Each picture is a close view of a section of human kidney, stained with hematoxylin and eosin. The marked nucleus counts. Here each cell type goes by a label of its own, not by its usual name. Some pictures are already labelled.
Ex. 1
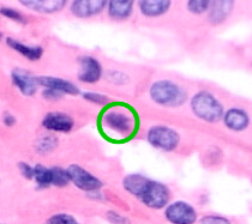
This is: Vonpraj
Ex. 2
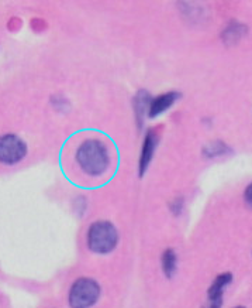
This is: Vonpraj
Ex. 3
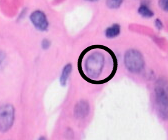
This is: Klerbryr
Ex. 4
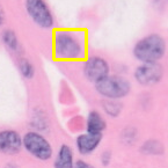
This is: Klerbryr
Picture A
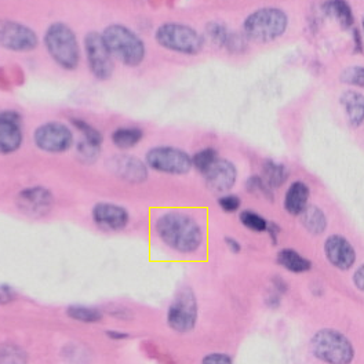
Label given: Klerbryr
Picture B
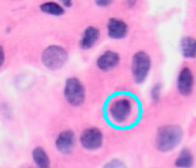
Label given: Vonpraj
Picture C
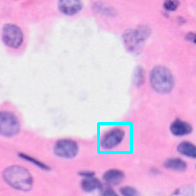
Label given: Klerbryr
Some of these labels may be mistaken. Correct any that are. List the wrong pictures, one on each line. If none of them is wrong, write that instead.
A is labelled Klerbryr; correct label: Vonpraj
C is labelled Klerbryr; correct label: Vonpraj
